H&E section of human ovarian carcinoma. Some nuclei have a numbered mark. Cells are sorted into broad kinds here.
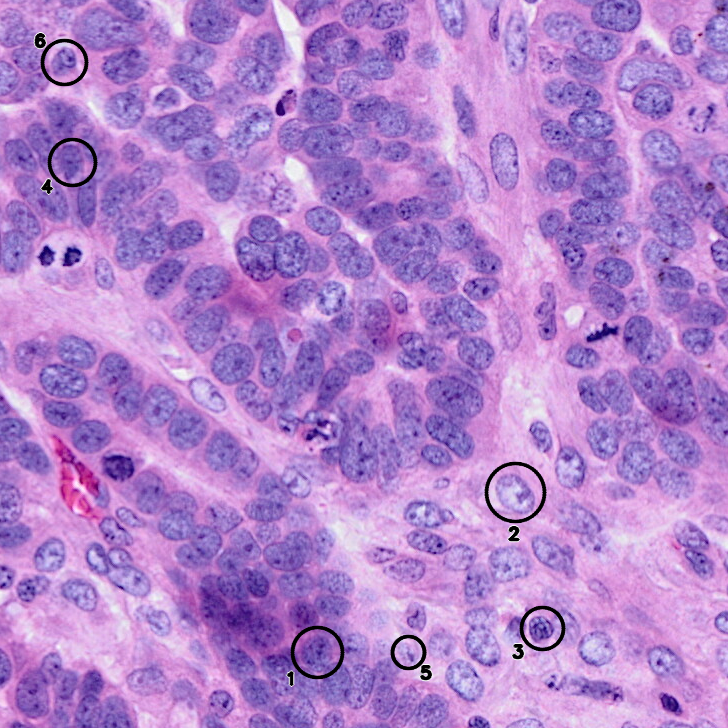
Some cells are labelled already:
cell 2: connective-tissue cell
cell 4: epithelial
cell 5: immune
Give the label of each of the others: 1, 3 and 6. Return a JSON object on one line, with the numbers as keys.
{"1": "epithelial", "3": "immune", "6": "immune"}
